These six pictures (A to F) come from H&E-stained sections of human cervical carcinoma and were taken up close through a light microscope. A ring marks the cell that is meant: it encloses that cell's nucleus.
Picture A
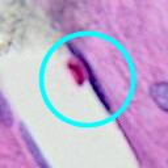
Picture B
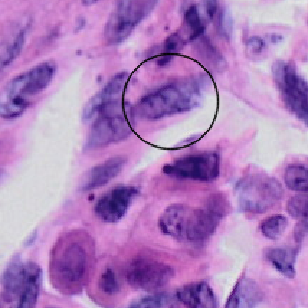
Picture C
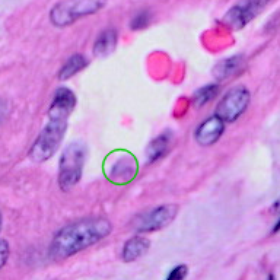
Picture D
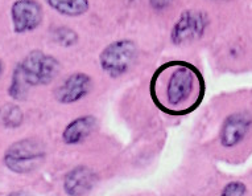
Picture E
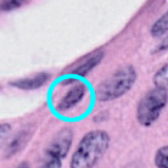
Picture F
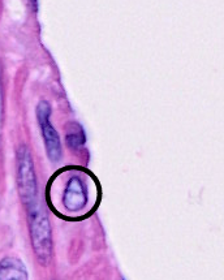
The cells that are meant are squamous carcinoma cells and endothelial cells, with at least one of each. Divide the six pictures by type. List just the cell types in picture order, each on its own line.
endothelial cell
squamous carcinoma cell
endothelial cell
squamous carcinoma cell
squamous carcinoma cell
endothelial cell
